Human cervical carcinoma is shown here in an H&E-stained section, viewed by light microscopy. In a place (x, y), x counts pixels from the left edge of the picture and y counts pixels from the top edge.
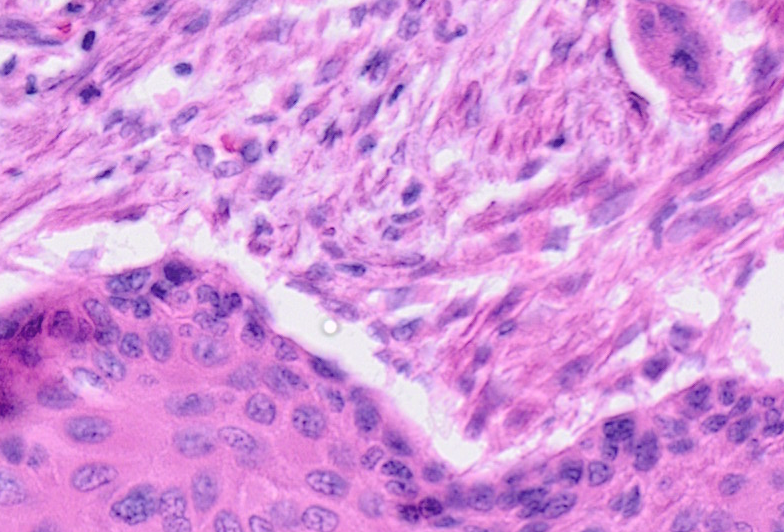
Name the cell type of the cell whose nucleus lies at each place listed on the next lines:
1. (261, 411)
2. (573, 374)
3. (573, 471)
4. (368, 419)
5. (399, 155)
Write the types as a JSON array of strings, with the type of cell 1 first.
["squamous carcinoma cell", "fibroblast", "squamous carcinoma cell", "squamous carcinoma cell", "fibroblast"]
